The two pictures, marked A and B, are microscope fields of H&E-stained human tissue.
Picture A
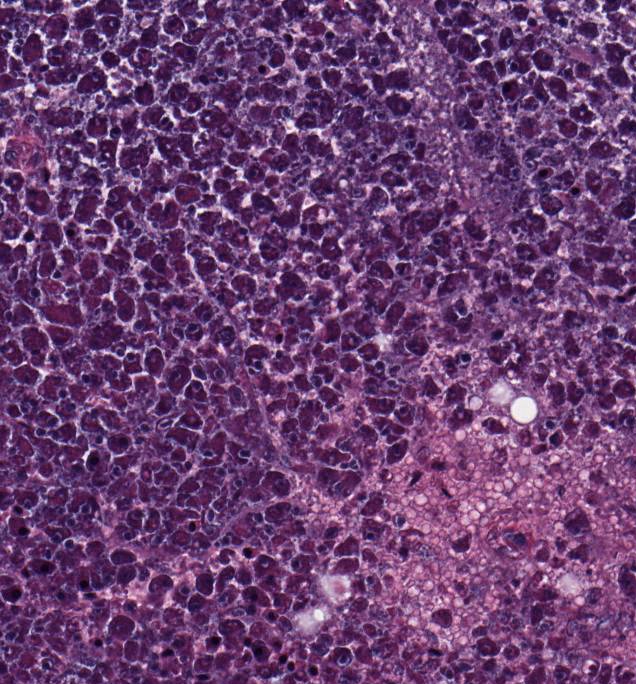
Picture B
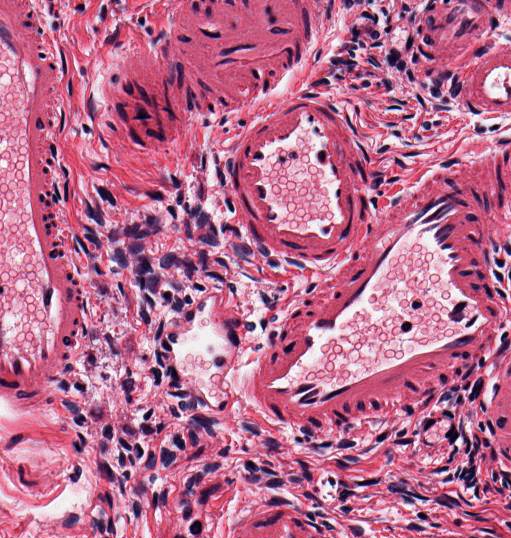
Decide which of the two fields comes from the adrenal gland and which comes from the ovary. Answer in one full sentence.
Picture B comes from the ovary, while picture A comes from the adrenal gland.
